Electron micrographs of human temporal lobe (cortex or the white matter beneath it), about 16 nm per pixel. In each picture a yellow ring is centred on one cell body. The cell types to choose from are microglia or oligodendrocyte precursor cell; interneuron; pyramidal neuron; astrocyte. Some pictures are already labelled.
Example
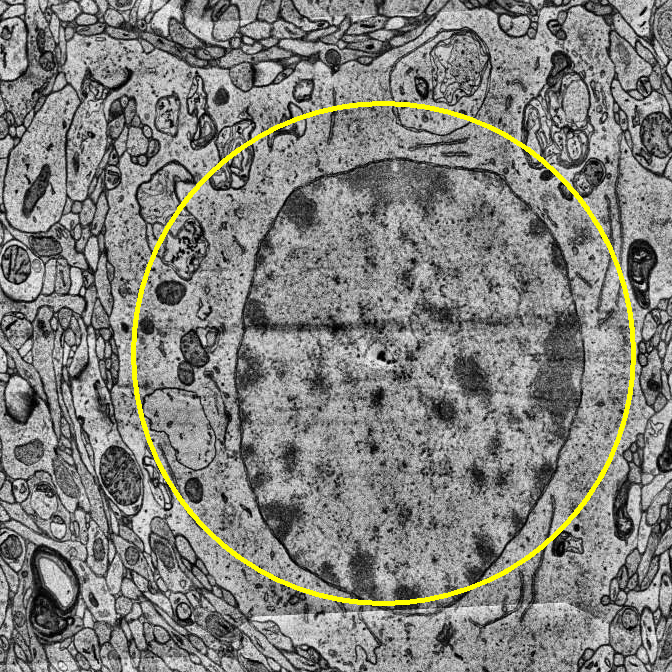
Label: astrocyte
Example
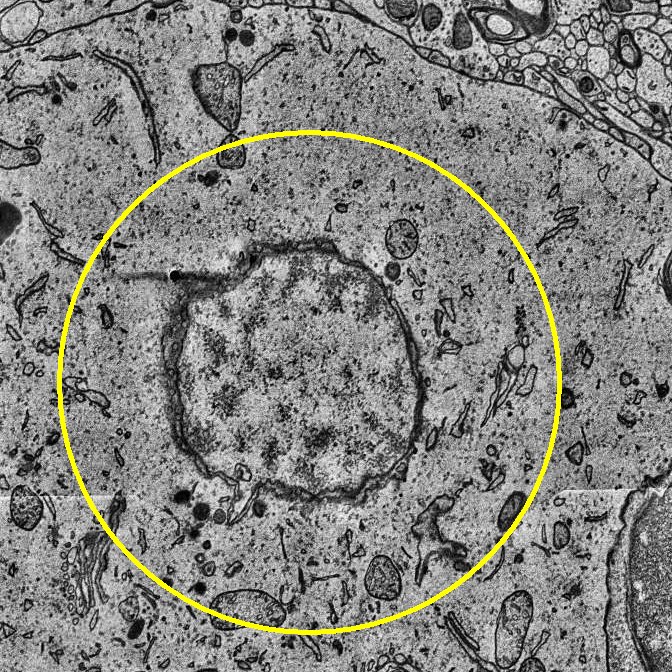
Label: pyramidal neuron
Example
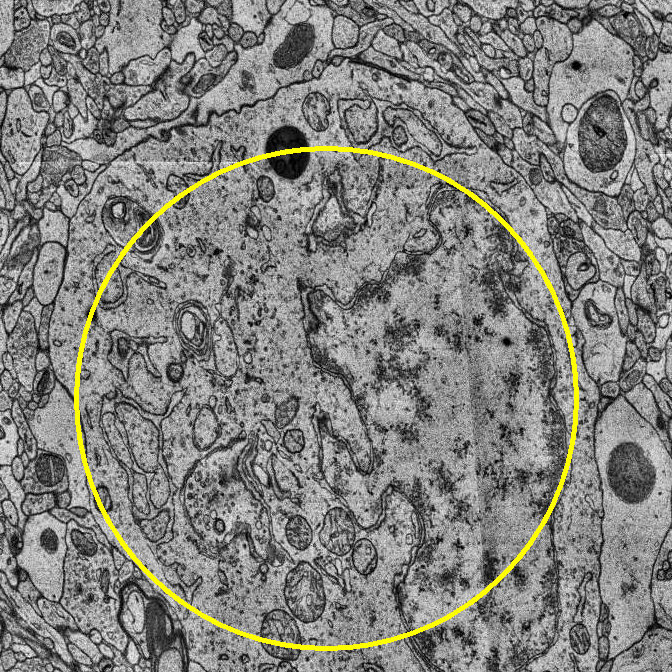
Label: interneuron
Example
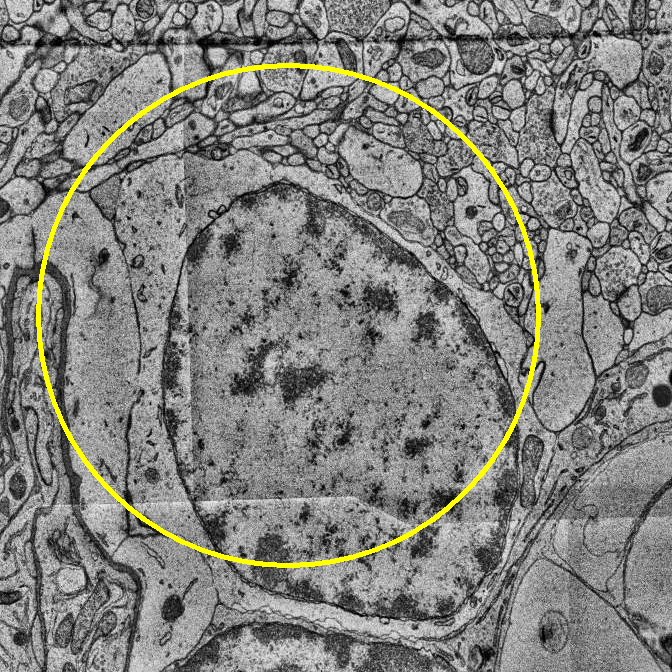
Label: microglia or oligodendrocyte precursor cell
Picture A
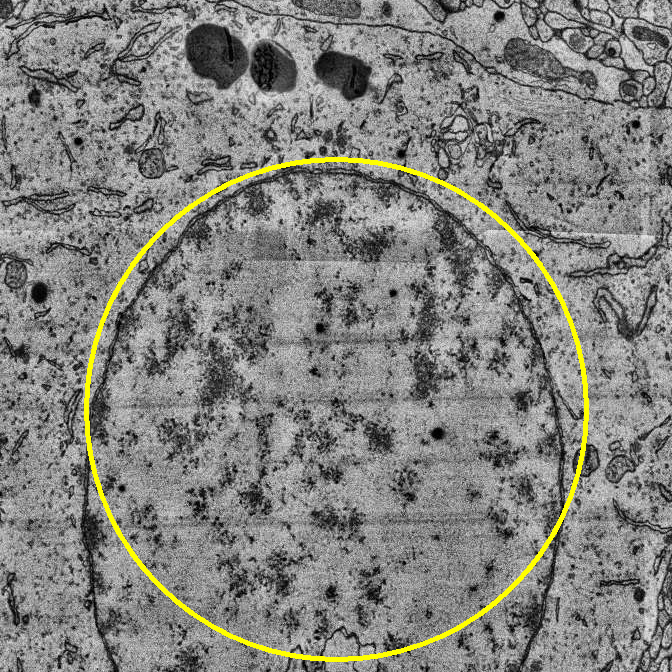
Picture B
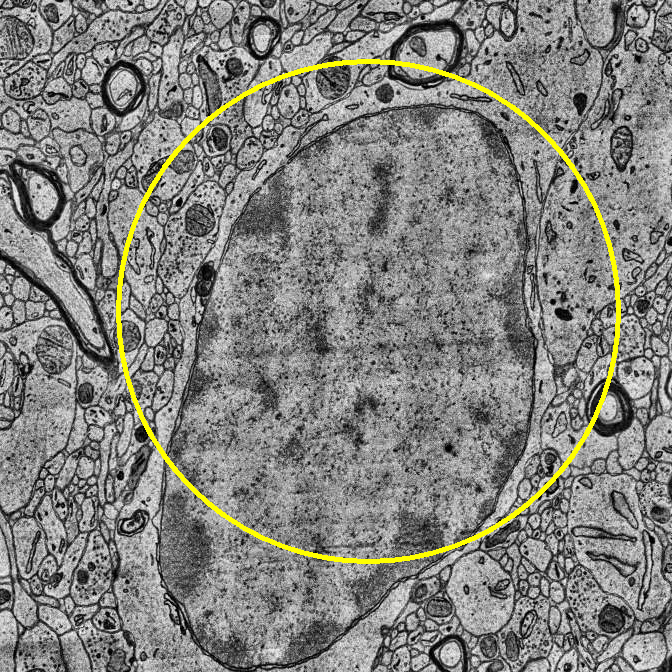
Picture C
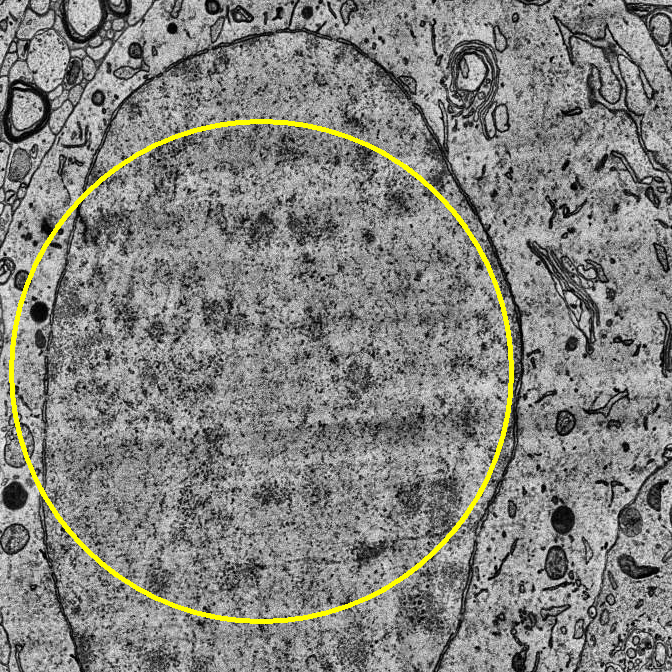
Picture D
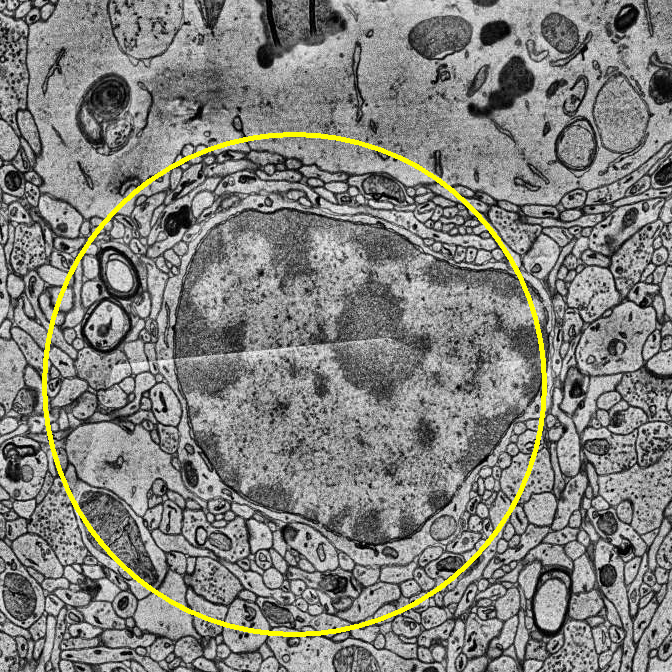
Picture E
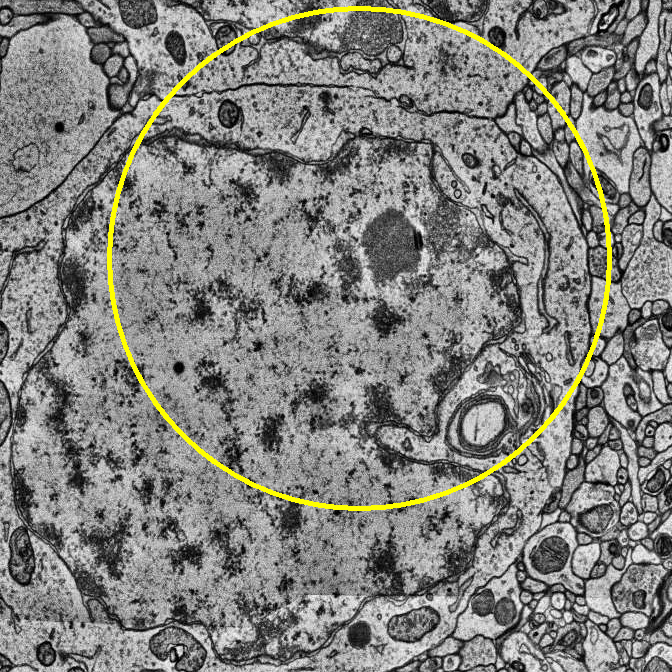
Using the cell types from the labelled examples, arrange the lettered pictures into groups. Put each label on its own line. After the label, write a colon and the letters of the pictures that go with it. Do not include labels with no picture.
microglia or oligodendrocyte precursor cell: B, D
interneuron: E
pyramidal neuron: A, C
